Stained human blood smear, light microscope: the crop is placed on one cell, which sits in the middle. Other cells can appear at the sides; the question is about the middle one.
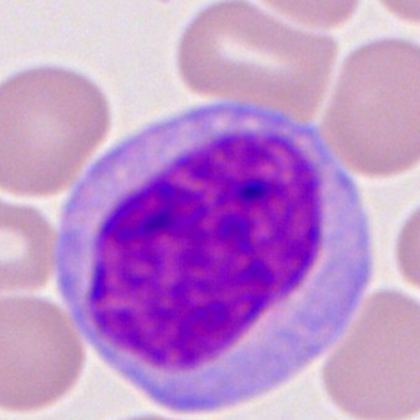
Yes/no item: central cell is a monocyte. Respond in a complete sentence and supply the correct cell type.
Yes, the cell at the center of the crop is a monocyte.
